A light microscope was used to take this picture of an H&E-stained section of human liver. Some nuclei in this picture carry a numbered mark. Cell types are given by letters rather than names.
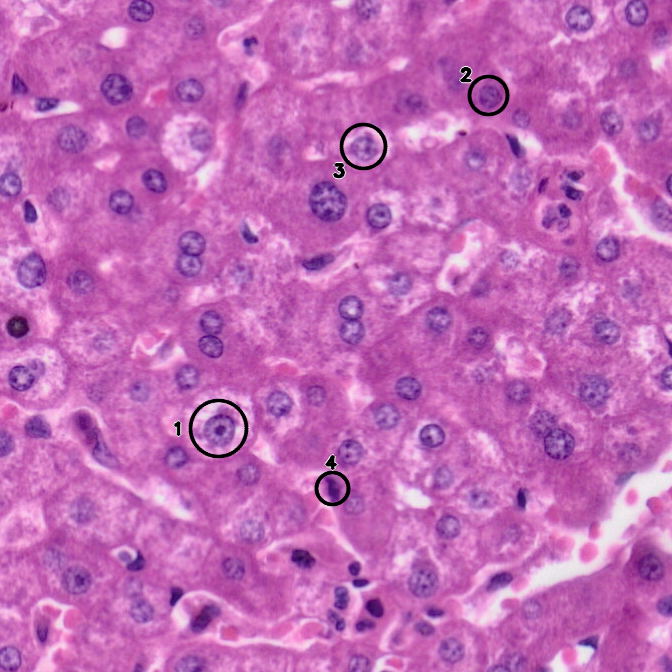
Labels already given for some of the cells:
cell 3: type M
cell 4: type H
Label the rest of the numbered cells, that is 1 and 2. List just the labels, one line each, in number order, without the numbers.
type M
type M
